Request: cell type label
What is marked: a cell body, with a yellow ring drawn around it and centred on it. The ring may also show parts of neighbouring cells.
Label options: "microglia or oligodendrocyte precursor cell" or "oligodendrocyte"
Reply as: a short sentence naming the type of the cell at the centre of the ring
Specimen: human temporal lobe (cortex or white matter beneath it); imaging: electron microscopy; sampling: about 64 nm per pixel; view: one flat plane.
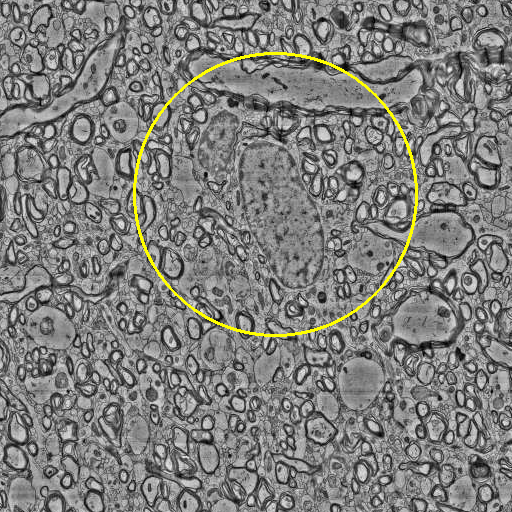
The marked cell body is that of a microglial cell or oligodendrocyte precursor cell.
